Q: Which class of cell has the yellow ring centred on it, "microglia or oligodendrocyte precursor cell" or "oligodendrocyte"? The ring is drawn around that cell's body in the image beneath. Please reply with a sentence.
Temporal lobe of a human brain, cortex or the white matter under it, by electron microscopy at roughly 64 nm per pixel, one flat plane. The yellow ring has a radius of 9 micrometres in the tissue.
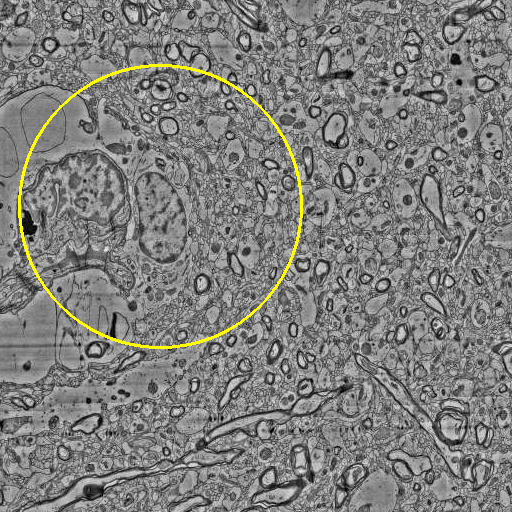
It is centred on a microglial cell or oligodendrocyte precursor cell.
